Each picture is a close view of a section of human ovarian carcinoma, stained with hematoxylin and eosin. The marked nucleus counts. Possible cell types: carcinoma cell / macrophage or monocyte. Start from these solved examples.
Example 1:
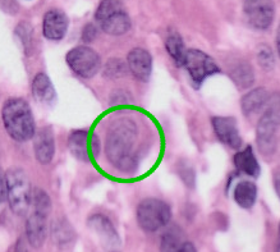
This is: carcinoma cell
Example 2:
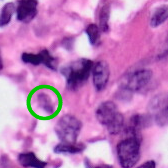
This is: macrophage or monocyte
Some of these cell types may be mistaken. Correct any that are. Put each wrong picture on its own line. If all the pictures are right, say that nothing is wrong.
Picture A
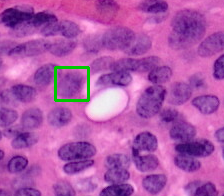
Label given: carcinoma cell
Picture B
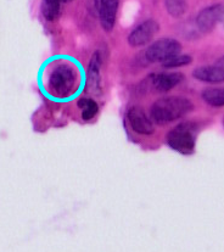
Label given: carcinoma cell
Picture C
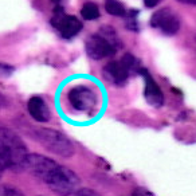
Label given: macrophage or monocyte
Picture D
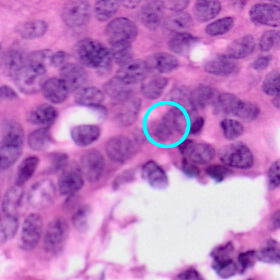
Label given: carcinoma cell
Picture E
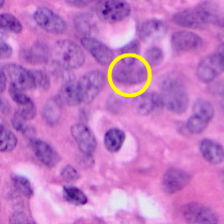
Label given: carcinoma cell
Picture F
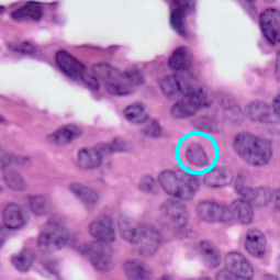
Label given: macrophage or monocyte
All labels are correct.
